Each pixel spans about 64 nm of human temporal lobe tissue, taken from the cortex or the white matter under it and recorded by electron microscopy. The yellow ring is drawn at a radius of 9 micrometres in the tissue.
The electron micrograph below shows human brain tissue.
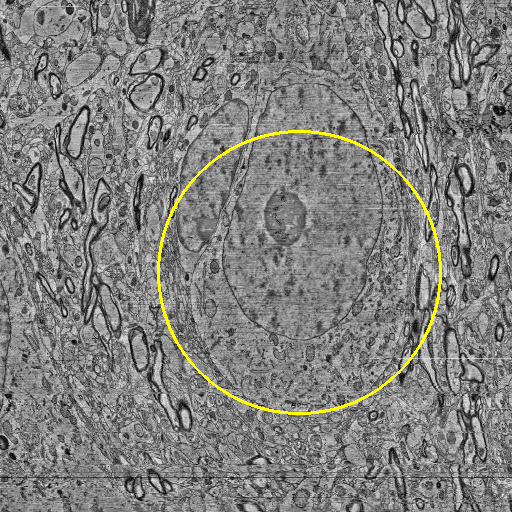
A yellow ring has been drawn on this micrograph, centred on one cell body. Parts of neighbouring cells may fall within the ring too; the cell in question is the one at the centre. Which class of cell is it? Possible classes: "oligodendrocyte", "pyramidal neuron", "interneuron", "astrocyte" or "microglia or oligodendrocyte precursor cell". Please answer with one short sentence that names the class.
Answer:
In the centre of the ring sits a pyramidal neuron.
